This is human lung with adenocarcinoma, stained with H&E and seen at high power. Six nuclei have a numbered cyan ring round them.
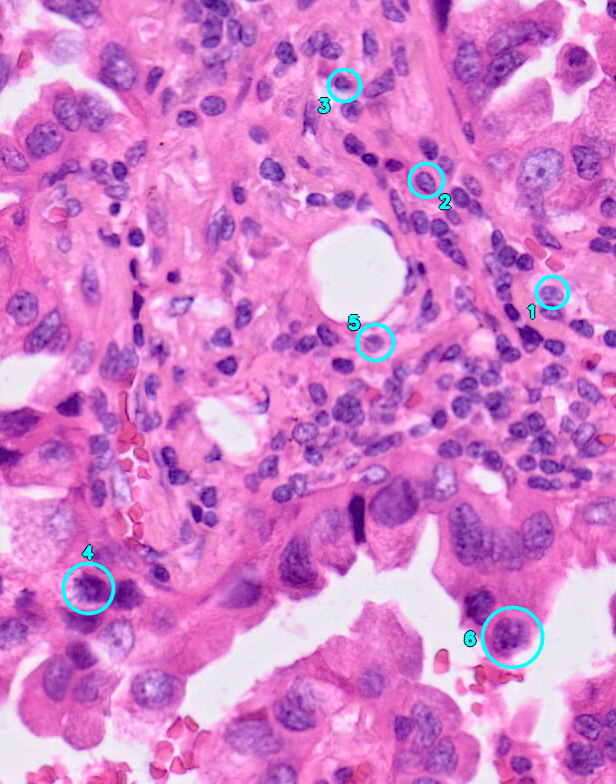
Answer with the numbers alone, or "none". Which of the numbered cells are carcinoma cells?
4, 6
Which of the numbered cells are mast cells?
2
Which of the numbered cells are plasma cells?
3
